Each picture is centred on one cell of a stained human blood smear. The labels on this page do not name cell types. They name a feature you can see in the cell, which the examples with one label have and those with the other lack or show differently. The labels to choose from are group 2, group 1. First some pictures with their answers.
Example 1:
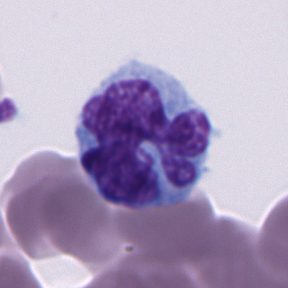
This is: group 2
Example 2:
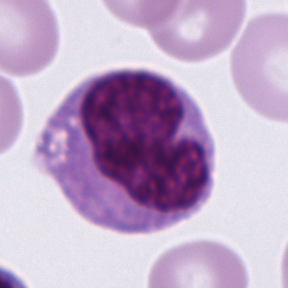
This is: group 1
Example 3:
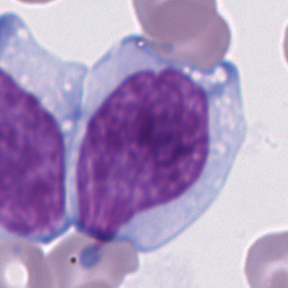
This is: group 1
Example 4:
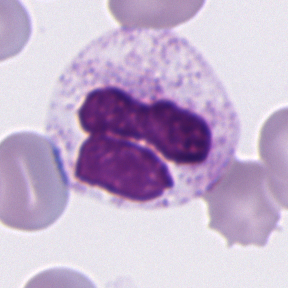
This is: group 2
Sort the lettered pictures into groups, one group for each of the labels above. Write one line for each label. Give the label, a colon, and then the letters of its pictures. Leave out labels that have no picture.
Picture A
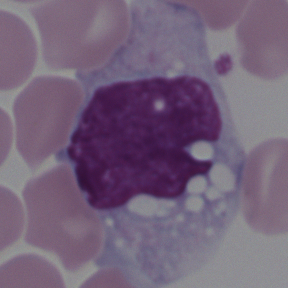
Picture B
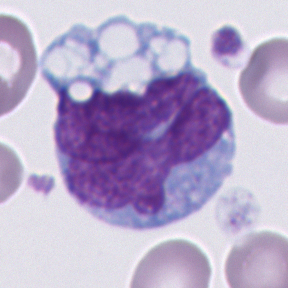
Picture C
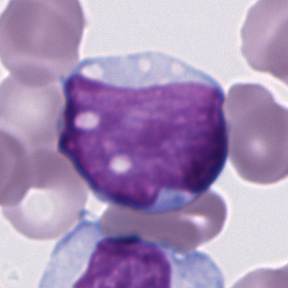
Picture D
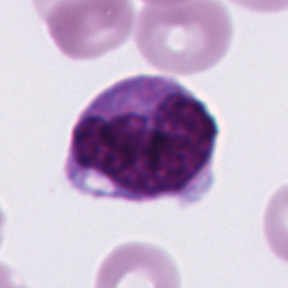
group 1: A, B, C, D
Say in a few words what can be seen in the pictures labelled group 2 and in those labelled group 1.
Seen in group 2: no vacuoles; seen in group 1: vacuoles present.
